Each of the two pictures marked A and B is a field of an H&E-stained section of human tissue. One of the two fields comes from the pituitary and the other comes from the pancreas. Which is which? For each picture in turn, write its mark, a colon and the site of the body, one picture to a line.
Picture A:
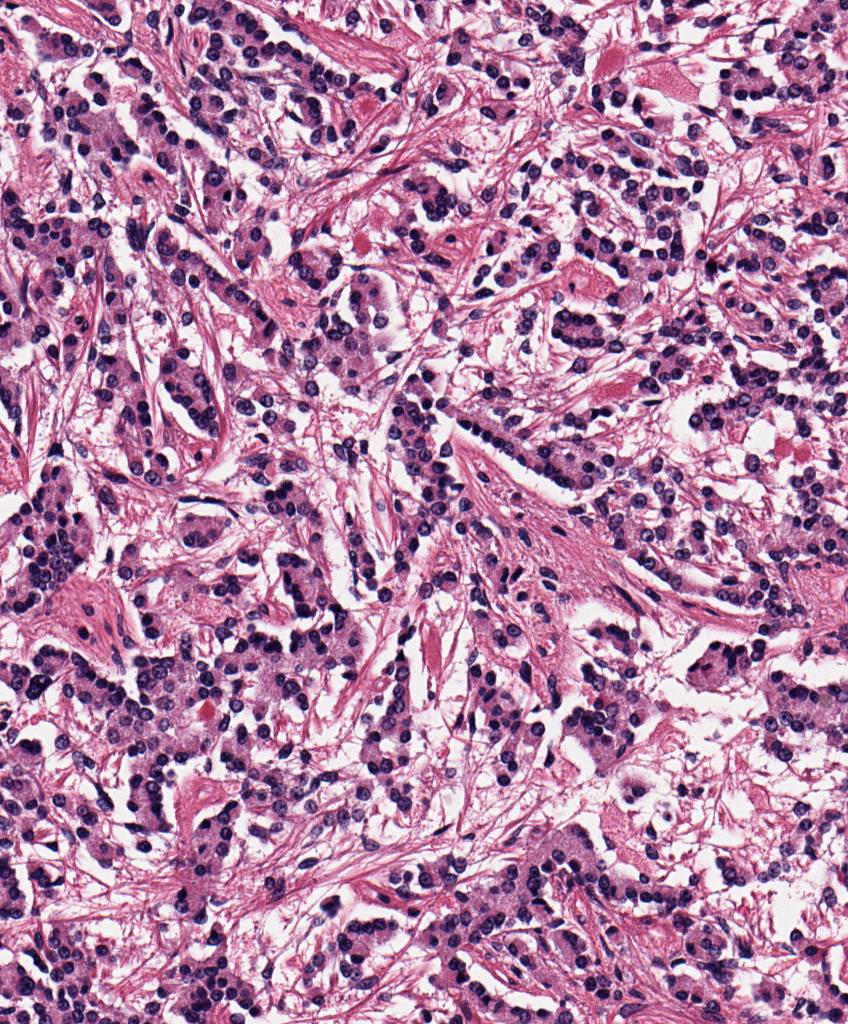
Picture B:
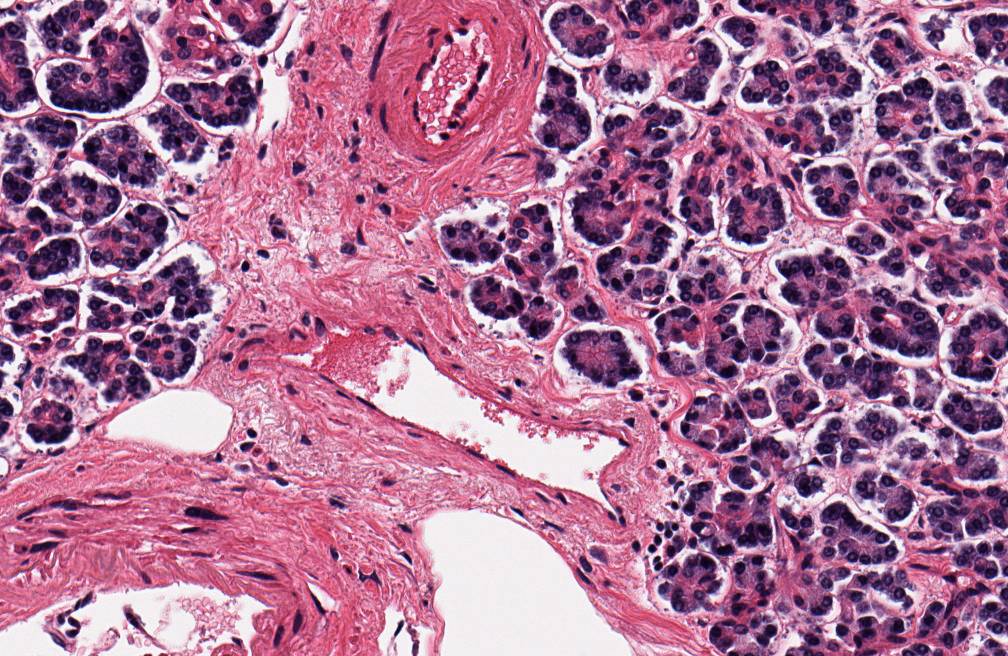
A: pituitary
B: pancreas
